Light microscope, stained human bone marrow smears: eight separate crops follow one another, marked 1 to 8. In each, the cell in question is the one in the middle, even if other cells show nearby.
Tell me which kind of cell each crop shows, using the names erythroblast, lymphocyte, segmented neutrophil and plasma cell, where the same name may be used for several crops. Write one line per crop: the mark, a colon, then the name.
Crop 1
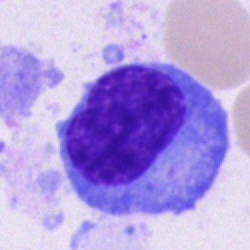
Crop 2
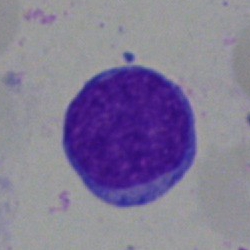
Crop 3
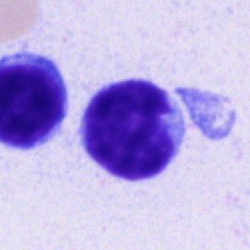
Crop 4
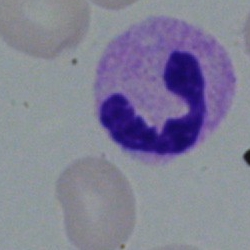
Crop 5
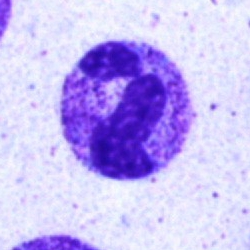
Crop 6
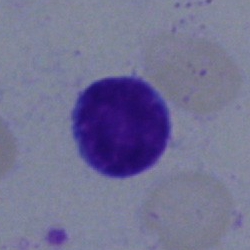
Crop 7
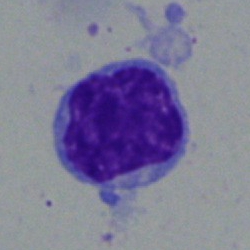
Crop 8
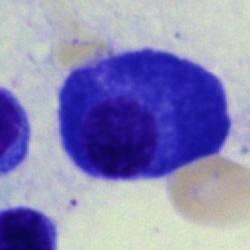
1: plasma cell
2: lymphocyte
3: lymphocyte
4: segmented neutrophil
5: segmented neutrophil
6: lymphocyte
7: lymphocyte
8: plasma cell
